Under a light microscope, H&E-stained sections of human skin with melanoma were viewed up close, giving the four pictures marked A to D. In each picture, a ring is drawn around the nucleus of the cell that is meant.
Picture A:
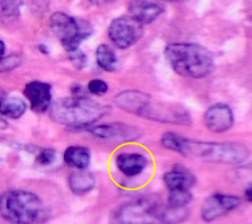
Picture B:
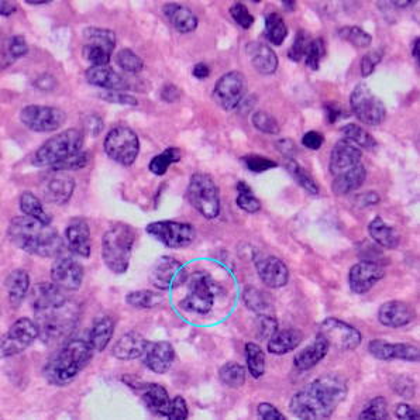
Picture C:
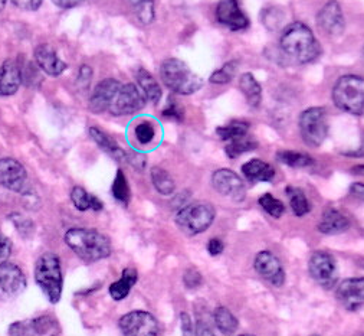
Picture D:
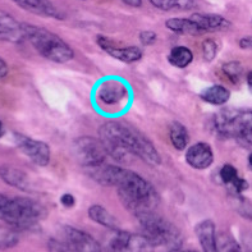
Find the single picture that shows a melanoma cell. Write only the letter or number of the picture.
B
